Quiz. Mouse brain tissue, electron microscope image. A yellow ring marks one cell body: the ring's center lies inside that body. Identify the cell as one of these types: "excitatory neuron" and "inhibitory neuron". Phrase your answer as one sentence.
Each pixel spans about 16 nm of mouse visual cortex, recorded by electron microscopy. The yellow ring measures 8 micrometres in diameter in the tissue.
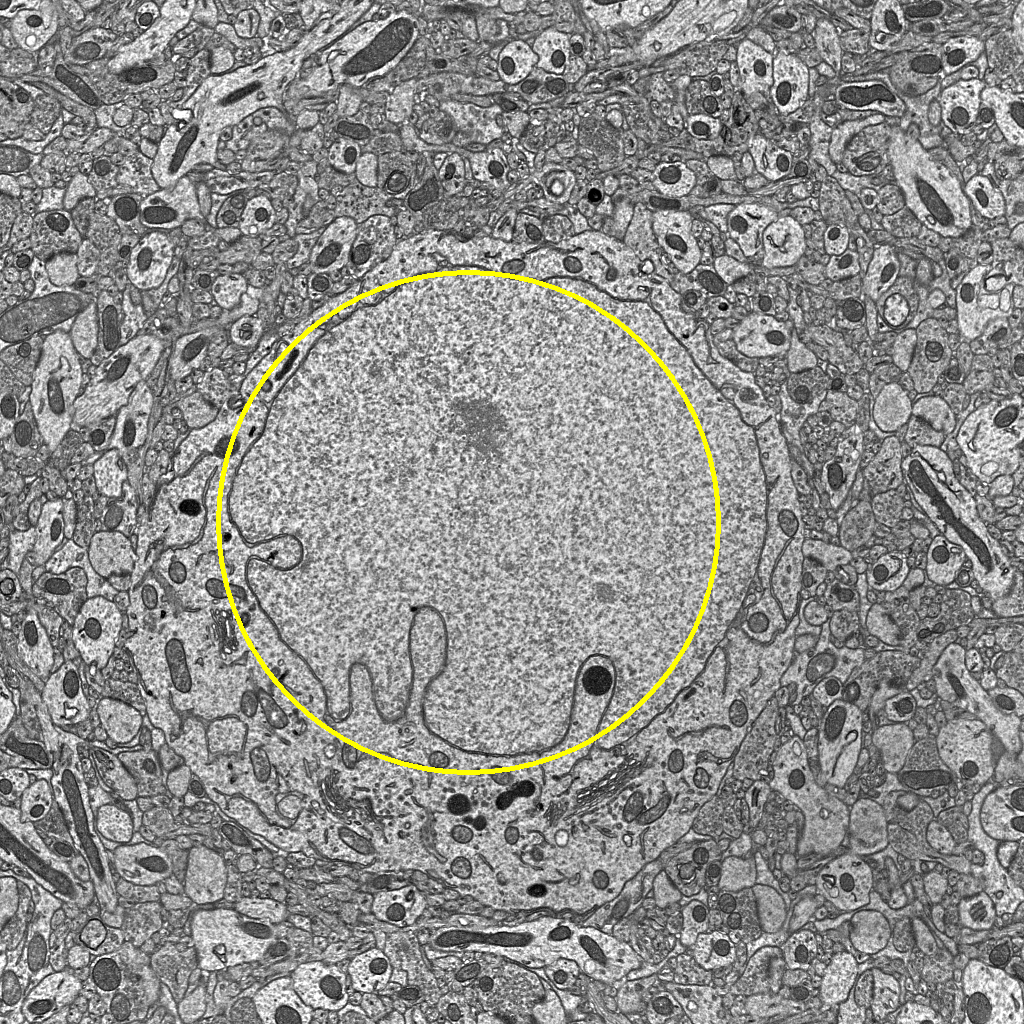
At the center of the ring sits an inhibitory neuron.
